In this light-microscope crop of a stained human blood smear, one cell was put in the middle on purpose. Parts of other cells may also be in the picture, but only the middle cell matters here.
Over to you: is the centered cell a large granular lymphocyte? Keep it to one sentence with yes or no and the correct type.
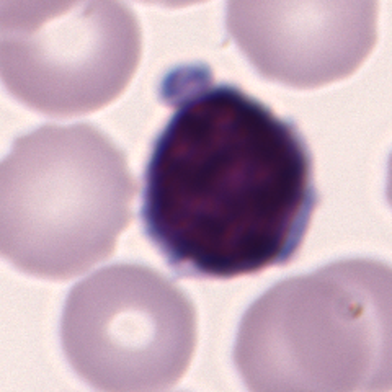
No, the cell in the middle of the field is a typical lymphocyte, not a large granular lymphocyte as suggested.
